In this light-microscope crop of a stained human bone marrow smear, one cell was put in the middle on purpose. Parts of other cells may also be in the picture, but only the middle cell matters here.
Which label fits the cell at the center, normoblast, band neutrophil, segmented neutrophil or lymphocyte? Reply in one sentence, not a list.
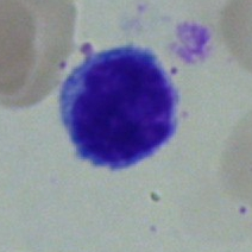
The cell around which this crop is centred is a lymphocyte.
